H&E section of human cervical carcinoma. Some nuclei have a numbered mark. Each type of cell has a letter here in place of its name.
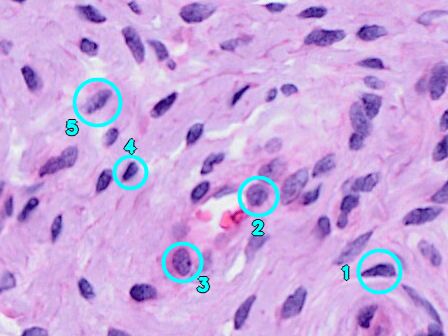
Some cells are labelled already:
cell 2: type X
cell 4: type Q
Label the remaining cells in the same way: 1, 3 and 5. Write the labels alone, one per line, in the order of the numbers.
type Q
type X
type Q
